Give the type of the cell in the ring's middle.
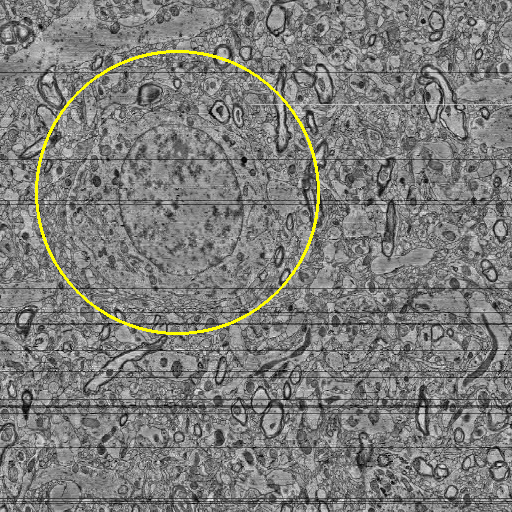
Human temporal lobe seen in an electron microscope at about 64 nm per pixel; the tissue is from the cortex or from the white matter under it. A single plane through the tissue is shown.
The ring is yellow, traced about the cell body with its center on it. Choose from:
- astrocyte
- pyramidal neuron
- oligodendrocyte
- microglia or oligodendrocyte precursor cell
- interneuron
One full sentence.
Here, an interneuron is the cell lying at the center of the yellow ring.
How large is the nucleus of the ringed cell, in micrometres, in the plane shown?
In this plane the nucleus measures roughly 10 by 8 micrometers.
